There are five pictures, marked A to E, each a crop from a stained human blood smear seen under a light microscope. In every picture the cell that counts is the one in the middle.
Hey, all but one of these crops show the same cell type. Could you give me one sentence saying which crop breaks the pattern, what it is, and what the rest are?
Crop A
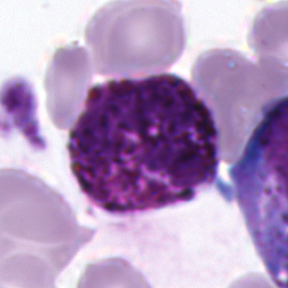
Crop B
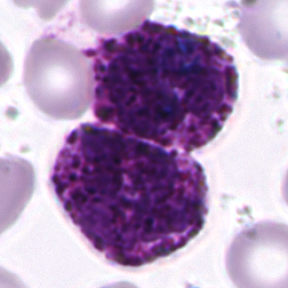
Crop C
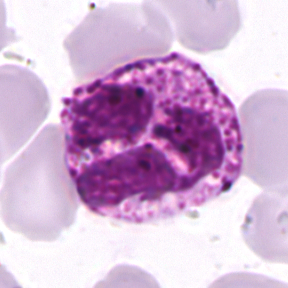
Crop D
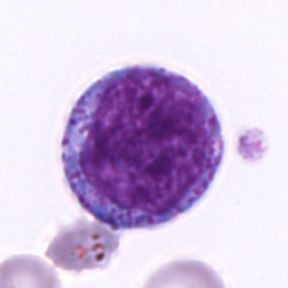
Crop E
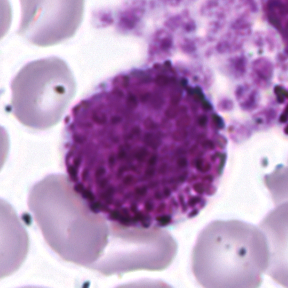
With the other crops all showing basophils, crop D differs by showing a promyelocyte.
